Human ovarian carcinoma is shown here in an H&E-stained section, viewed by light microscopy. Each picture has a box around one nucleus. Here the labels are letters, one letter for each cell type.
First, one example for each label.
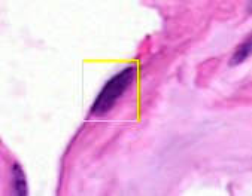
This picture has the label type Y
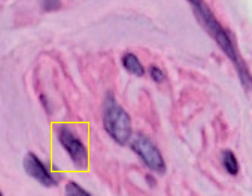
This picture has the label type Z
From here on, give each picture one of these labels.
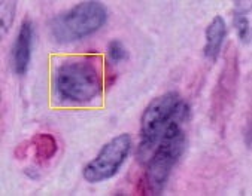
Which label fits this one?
type Y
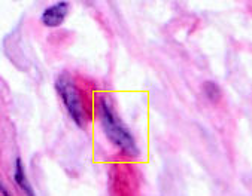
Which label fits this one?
type Y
